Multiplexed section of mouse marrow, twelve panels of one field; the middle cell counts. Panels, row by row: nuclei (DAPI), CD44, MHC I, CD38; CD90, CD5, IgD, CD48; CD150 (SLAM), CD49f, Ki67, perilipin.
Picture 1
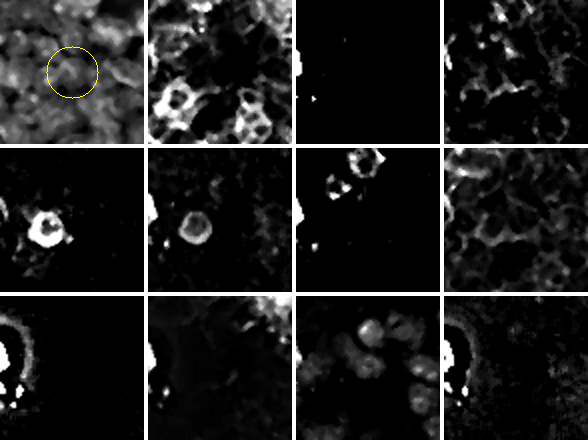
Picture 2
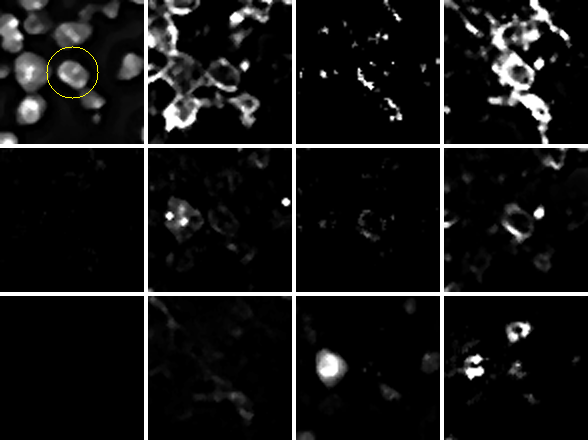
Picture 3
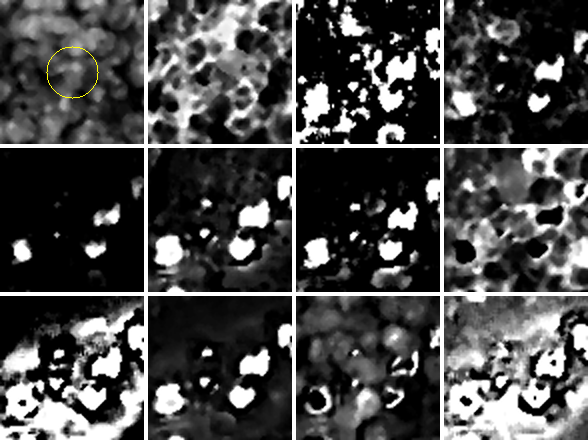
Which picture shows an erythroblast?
Picture 1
